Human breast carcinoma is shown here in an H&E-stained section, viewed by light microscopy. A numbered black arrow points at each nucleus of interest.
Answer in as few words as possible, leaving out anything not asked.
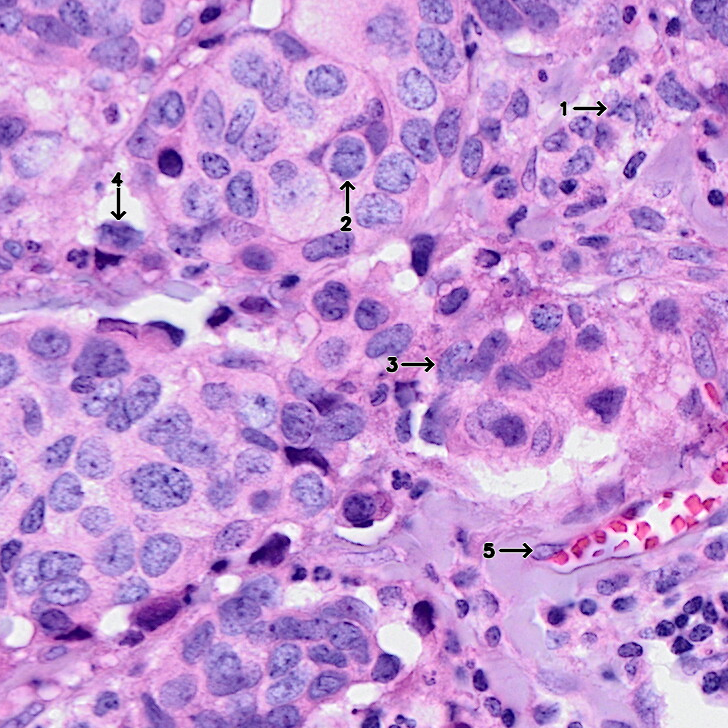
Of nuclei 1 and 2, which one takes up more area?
2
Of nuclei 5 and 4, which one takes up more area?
4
